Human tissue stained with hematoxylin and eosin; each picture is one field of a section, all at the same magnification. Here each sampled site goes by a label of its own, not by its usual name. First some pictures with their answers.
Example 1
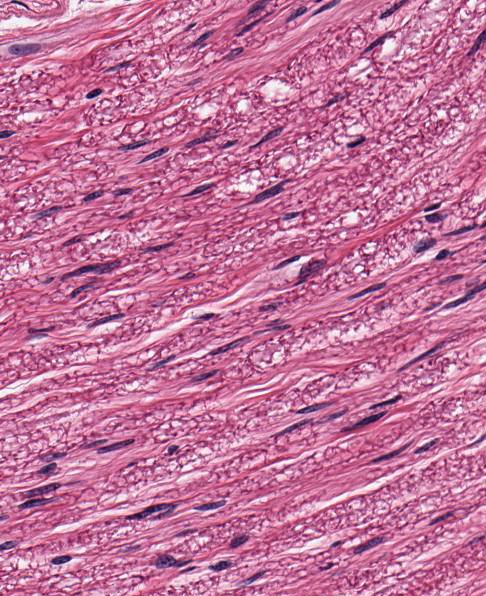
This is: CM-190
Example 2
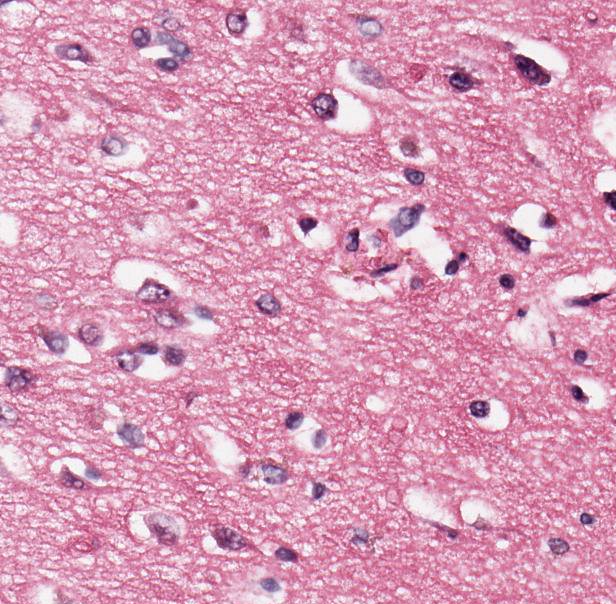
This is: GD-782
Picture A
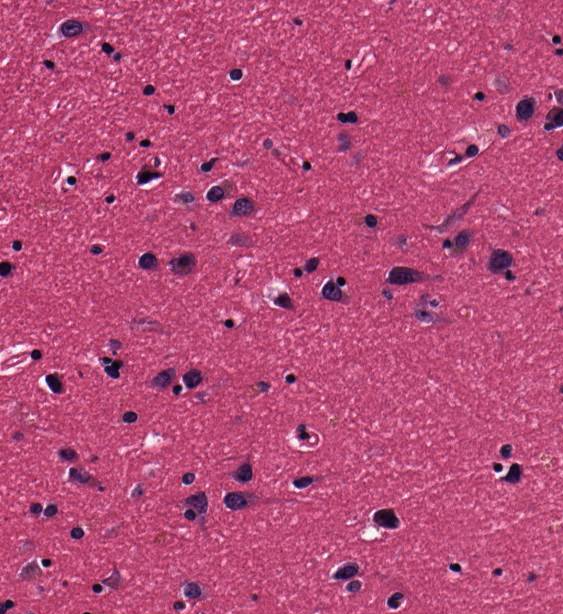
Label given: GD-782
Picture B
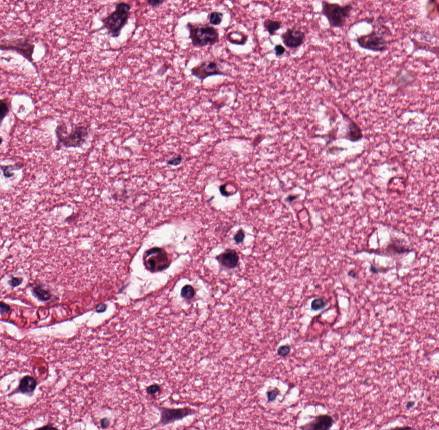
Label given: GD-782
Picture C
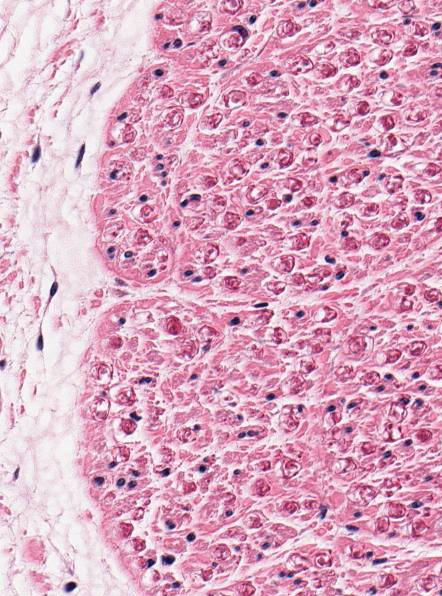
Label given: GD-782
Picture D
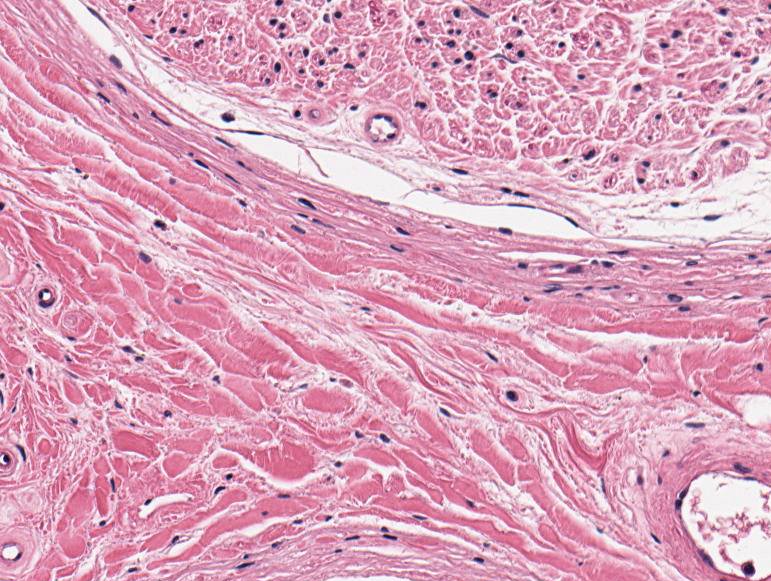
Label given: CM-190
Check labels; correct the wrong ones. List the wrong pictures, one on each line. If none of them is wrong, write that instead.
Wrong: C (GD-782); correct: CM-190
